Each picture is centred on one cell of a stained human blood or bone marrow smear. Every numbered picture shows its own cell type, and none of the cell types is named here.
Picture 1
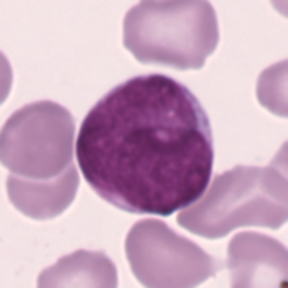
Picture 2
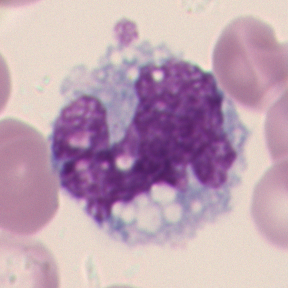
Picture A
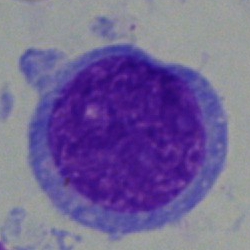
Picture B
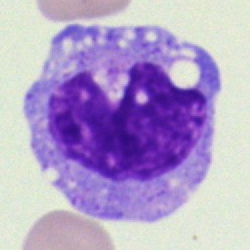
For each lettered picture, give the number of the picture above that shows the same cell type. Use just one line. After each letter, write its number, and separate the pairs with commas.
A 1, B 2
